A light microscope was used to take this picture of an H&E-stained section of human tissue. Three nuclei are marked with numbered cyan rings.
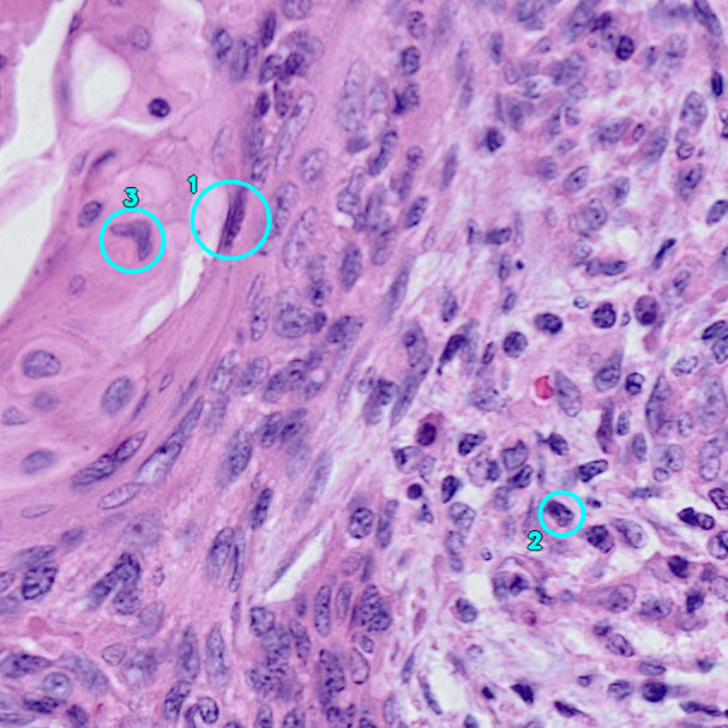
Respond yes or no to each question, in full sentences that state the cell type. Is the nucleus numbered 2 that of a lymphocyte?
Yes, as for number 2, the cell is a lymphocyte.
